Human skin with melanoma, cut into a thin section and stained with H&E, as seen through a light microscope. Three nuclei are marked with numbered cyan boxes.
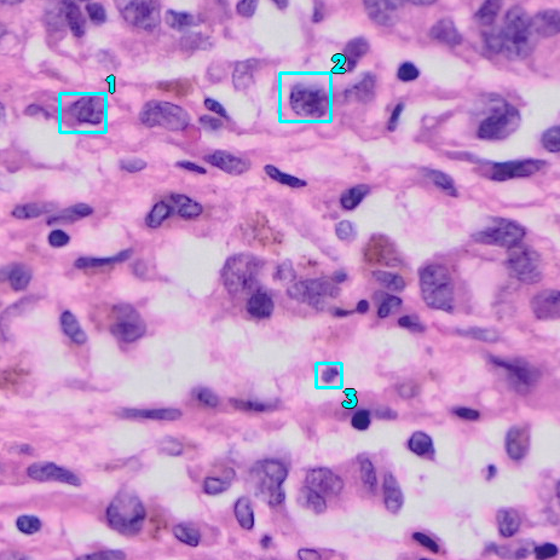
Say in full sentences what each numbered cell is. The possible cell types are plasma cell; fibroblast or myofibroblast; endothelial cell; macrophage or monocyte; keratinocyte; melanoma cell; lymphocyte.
Cells 1 and 2 are melanoma cells. Cell 3 is a lymphocyte.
